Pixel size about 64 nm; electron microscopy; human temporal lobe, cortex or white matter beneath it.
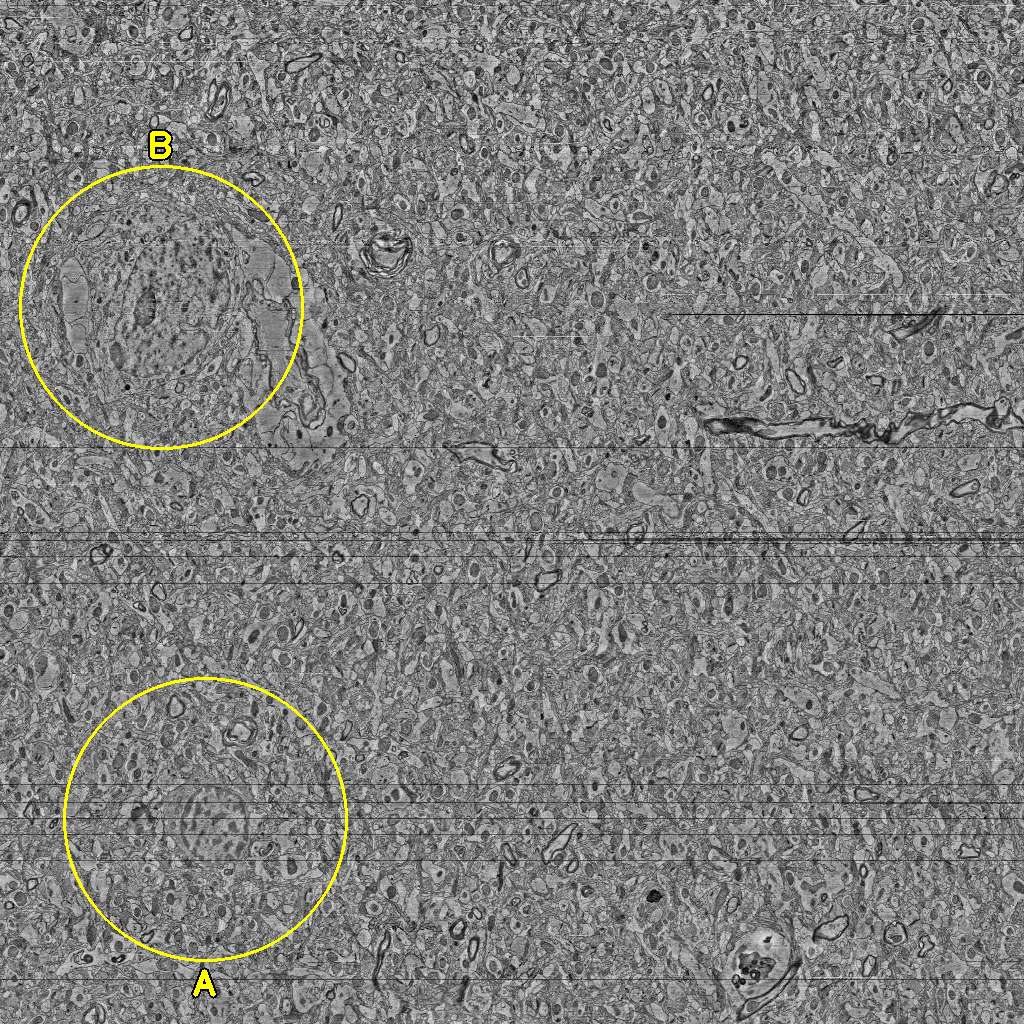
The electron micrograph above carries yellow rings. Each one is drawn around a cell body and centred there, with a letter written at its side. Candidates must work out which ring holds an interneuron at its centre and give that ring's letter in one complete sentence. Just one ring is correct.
Letter B marks the ring whose centre holds that kind of cell.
